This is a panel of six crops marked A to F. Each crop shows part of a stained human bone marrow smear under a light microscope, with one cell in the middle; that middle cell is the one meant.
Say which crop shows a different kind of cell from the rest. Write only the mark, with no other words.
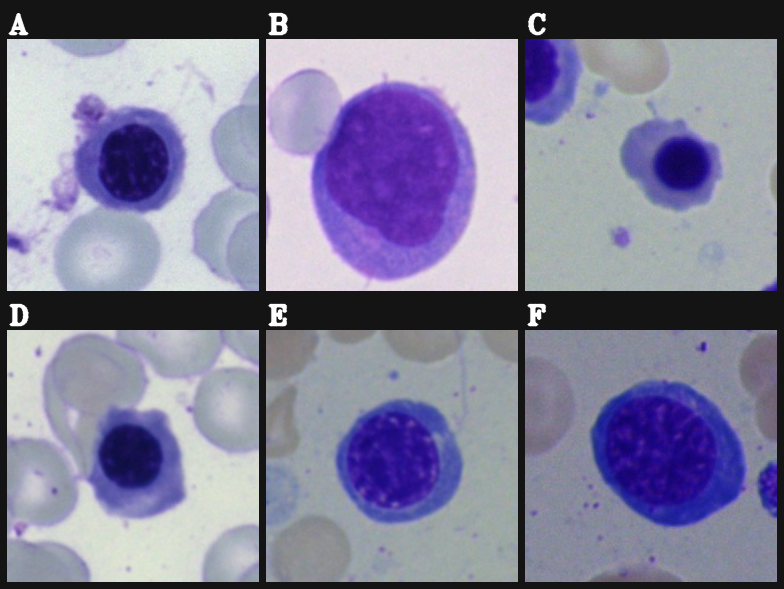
B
